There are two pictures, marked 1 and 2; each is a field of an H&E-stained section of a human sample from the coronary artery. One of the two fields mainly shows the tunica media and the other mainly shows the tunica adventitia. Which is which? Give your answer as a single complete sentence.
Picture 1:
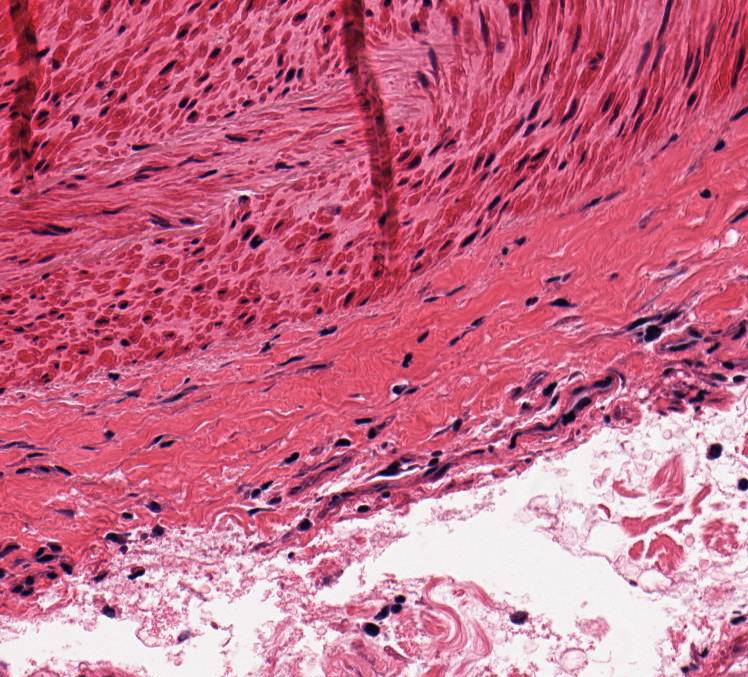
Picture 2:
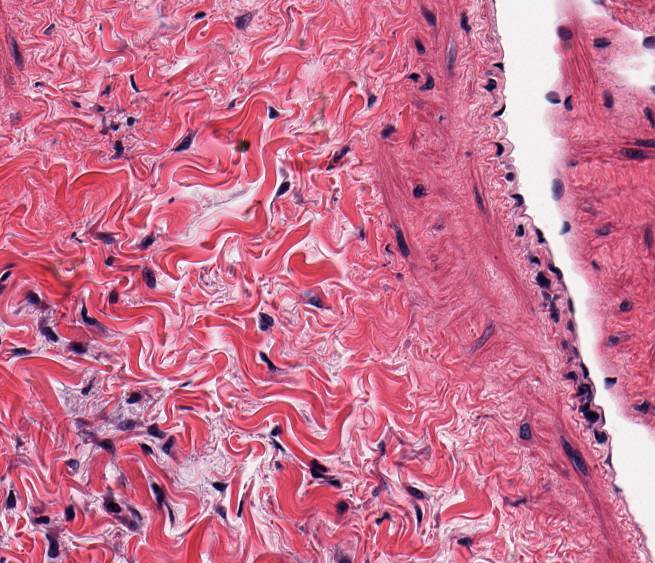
Picture 2 mainly shows the tunica adventitia, while picture 1 mainly shows the tunica media.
